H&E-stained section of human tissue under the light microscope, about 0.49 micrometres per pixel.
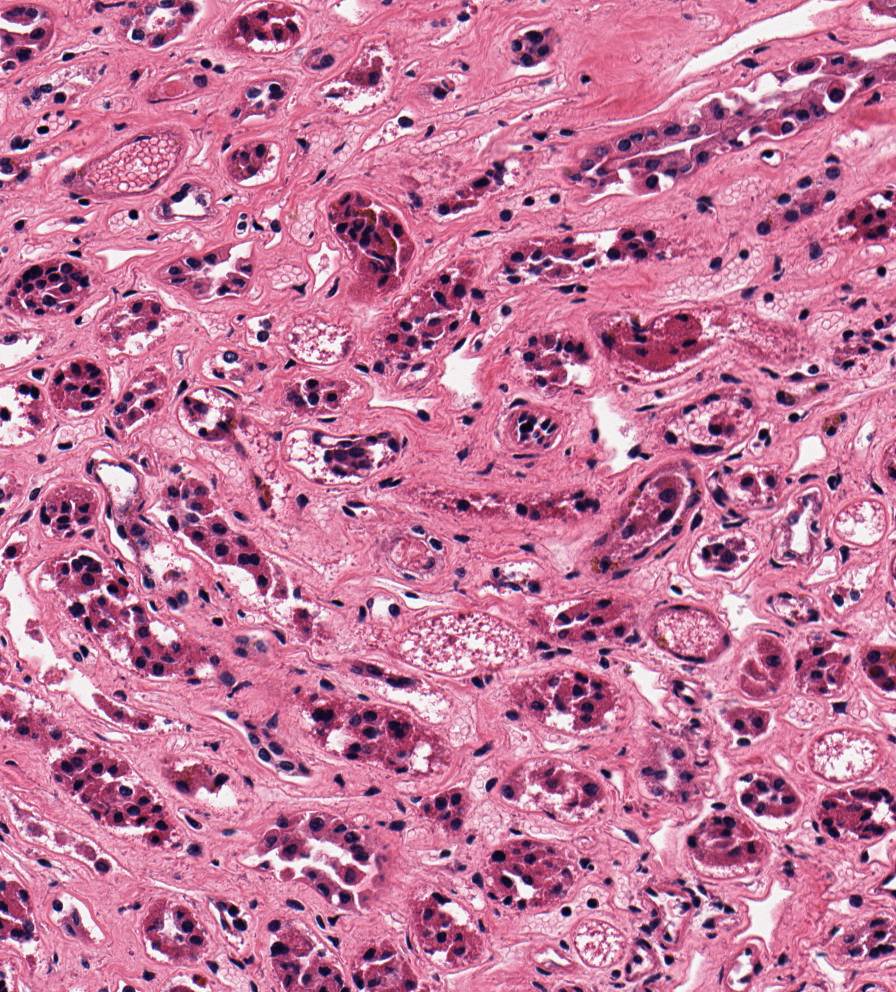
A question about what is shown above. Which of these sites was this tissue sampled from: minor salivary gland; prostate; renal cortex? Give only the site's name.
renal cortex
